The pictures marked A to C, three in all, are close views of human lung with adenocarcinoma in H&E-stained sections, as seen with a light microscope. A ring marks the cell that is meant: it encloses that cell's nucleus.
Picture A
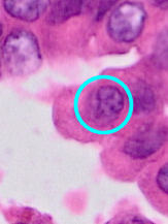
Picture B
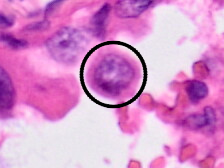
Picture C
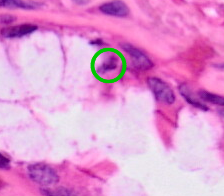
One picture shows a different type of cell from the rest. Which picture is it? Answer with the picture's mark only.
C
